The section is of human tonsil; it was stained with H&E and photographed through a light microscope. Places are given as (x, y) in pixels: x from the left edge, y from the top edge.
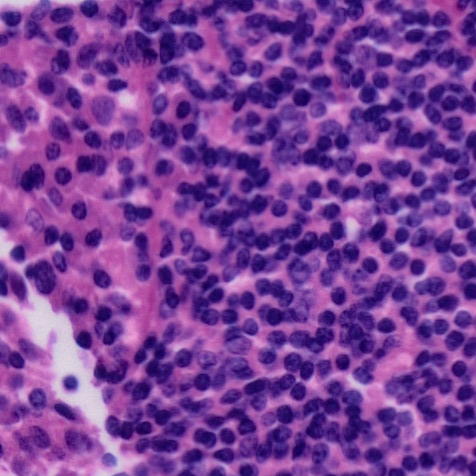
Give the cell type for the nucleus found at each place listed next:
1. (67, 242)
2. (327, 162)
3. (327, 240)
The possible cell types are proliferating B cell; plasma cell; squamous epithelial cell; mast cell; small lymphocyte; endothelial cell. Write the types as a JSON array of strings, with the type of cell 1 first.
["plasma cell", "small lymphocyte", "small lymphocyte"]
